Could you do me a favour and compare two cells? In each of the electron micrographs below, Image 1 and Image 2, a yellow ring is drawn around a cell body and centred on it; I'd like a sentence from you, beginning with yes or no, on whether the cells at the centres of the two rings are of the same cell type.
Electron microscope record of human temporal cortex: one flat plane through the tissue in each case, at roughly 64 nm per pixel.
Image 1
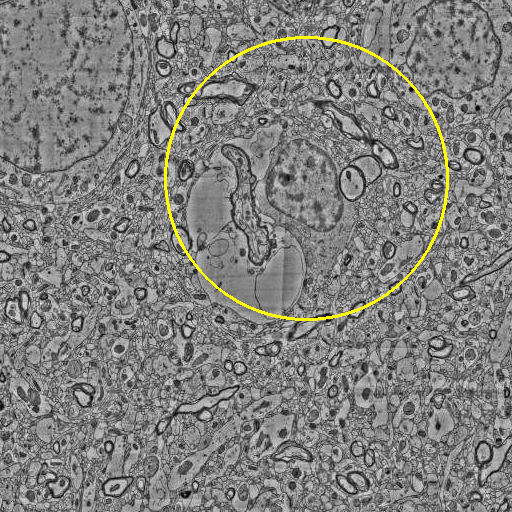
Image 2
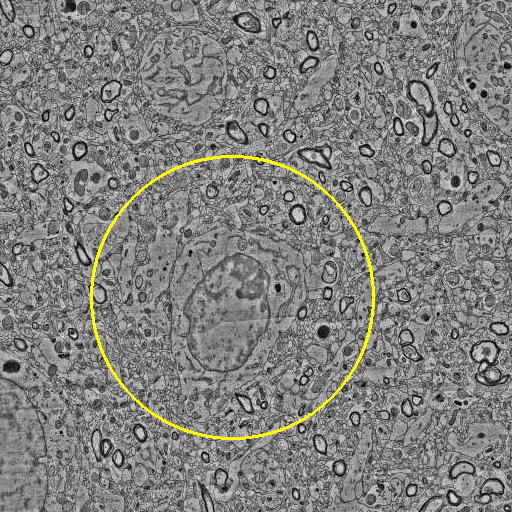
No, the two cells are of two cell types.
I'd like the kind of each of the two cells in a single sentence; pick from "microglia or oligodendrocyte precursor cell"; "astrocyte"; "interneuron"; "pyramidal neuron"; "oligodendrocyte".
The first ring marks an oligodendrocyte, and the second ring marks a pyramidal neuron.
